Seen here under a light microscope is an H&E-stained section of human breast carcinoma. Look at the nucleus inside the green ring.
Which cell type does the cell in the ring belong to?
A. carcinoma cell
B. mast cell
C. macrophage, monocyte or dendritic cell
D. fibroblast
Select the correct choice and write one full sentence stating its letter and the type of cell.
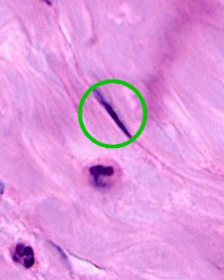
The correct option is D, and the cell in the ring is a fibroblast.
